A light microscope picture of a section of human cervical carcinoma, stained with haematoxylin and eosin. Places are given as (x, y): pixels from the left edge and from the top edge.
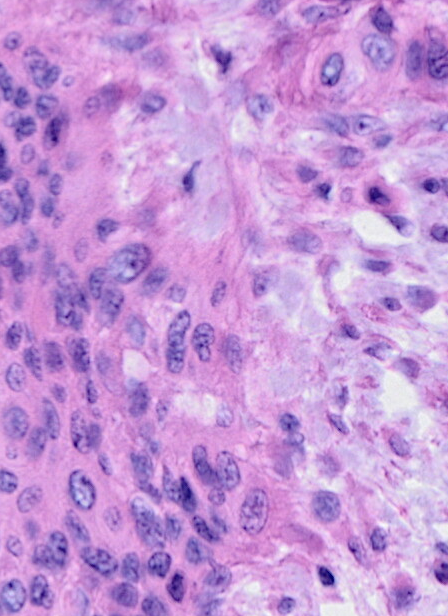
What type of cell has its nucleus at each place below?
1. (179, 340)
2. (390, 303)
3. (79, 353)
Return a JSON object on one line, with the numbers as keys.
{"1": "squamous carcinoma cell", "2": "fibroblast", "3": "squamous carcinoma cell"}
